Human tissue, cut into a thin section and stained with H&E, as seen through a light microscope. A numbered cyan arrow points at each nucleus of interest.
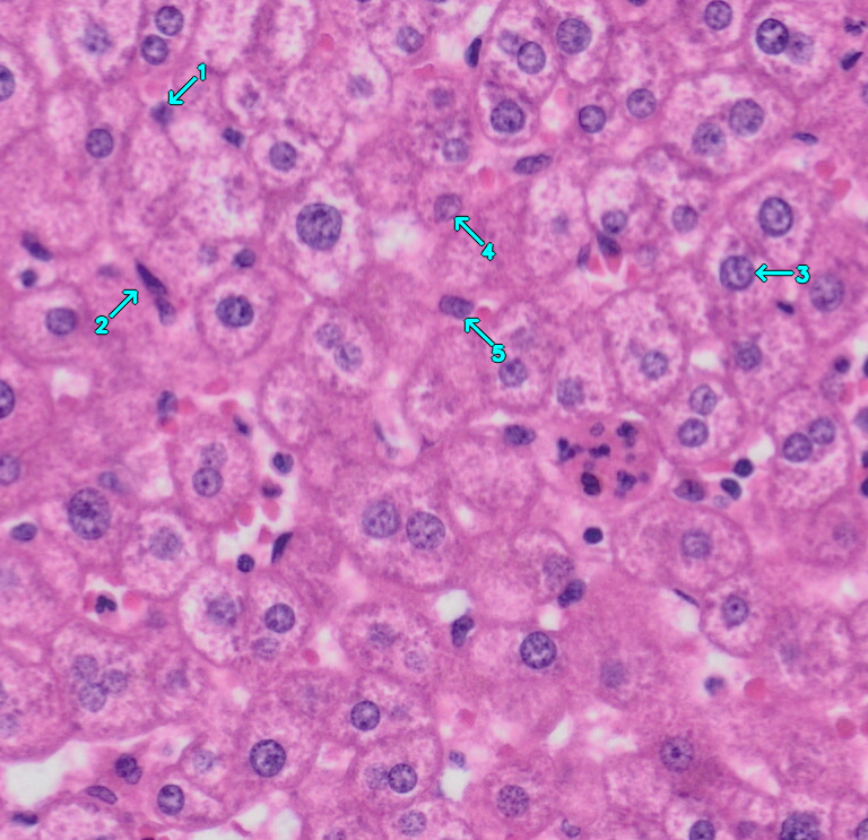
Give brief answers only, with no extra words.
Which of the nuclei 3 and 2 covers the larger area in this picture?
3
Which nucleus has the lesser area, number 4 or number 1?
1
